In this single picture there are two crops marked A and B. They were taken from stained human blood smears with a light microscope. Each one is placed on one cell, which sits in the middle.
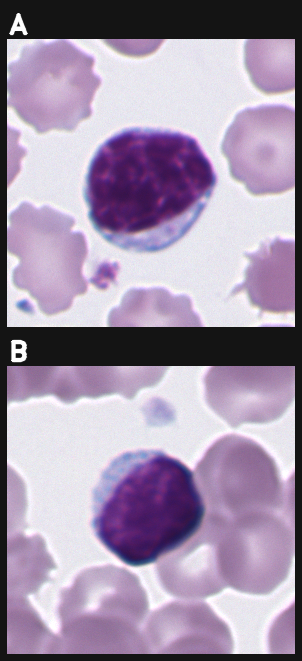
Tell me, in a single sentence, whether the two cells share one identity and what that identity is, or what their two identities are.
Yes, both crops alike show typical lymphocytes at the centre.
